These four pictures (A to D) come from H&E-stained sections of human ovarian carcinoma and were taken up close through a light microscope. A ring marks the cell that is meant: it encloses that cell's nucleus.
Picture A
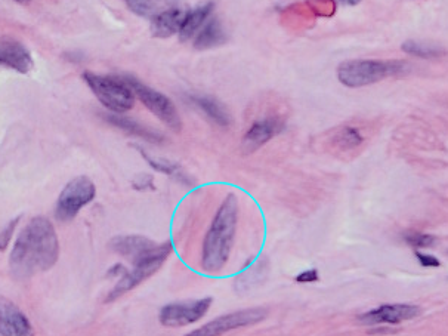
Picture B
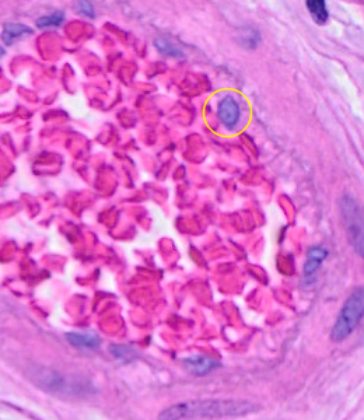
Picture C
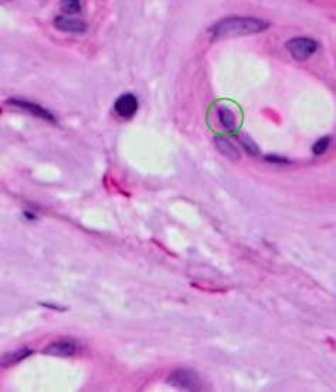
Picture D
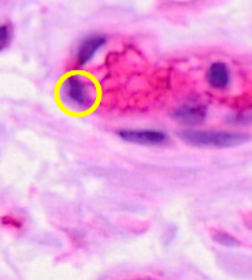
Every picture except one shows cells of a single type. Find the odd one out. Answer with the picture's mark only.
A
